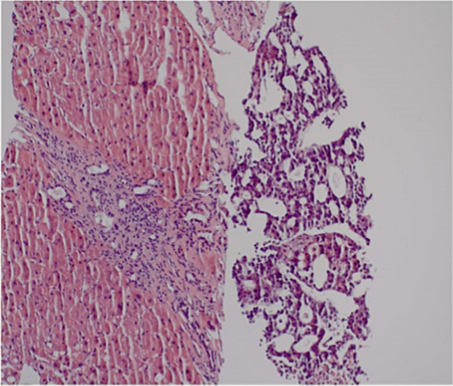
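Liver tissue beside a fragment of tumor. On the left, hepatocytes form cords and plates of large polygonal cells with abundant pink cytoplasm and round central nuclei, separated by narrow sinusoid-like spaces. A band of fibrous stroma crosses the liver tissue, containing many small dark nuclei of inflammatory and stromal cells and a few small vessels or ductular structures. On the right, a separate tumor fragment is composed of crowded cells with scant cytoplasm and dark purple nuclei, arranged around numerous rounded and irregular clear spaces, giving a gland-like, sieve-like or microcystic pattern quite unlike the orderly liver plates.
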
